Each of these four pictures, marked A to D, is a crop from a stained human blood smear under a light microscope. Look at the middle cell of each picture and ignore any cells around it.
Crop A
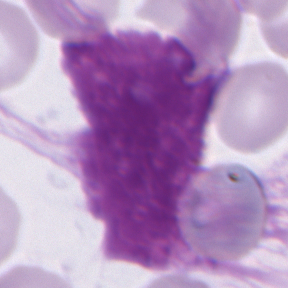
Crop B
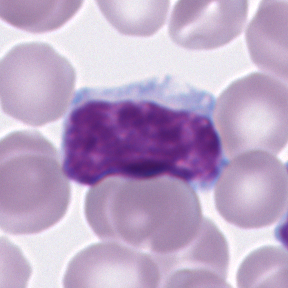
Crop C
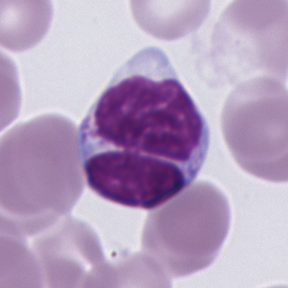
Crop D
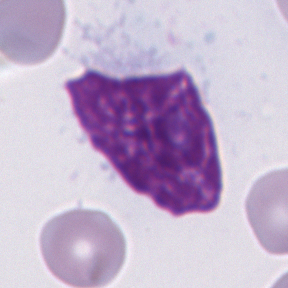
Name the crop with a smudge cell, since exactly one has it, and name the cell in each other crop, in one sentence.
On the one hand crop A shows a smudge cell; on the other, crop B is a typical lymphocyte, crop C is a large granular lymphocyte and crop D is a myeloblast.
